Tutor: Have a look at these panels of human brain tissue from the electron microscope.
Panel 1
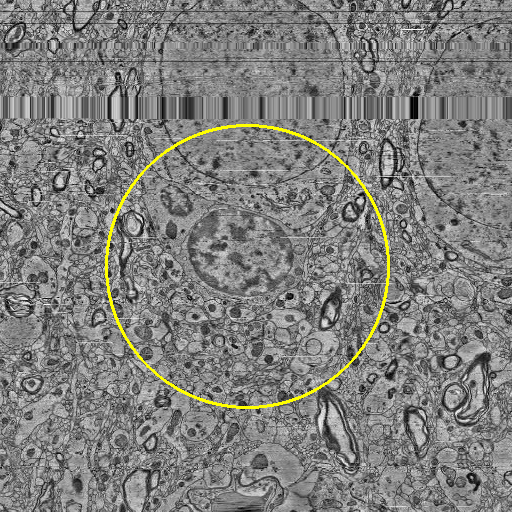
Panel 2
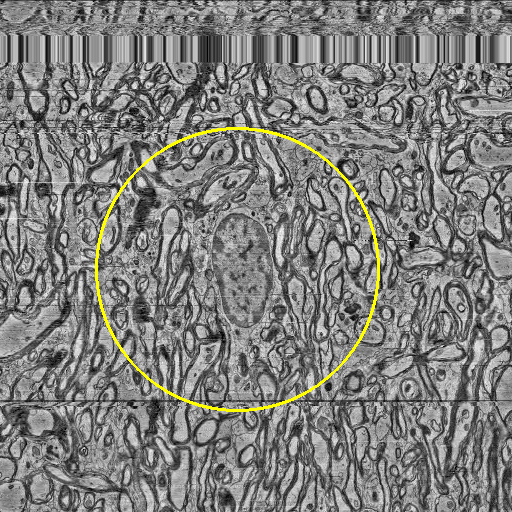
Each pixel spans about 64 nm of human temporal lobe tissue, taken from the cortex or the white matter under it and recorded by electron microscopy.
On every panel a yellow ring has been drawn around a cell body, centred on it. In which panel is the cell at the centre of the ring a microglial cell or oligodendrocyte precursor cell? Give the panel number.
2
